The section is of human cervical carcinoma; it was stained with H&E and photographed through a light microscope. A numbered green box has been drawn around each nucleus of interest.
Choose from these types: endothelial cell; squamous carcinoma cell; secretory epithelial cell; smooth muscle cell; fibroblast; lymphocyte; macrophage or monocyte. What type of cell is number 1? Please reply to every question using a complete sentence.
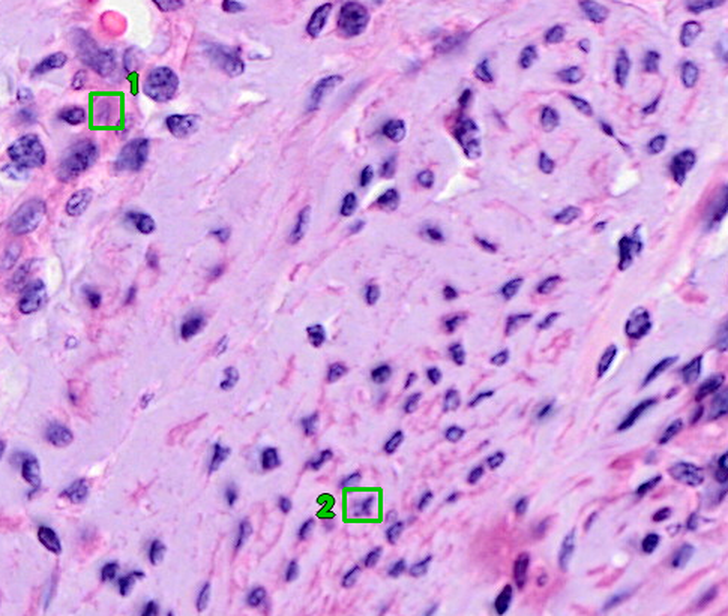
The cell given label 1 is an endothelial cell.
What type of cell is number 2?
The cell to which the number 2 is assigned is a smooth muscle cell.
